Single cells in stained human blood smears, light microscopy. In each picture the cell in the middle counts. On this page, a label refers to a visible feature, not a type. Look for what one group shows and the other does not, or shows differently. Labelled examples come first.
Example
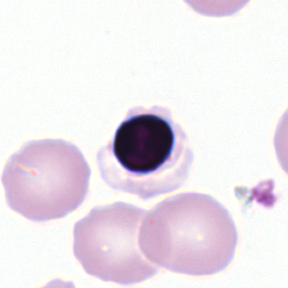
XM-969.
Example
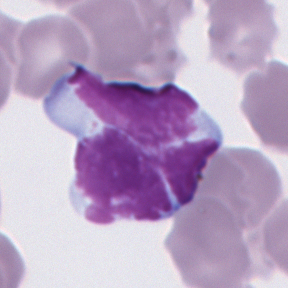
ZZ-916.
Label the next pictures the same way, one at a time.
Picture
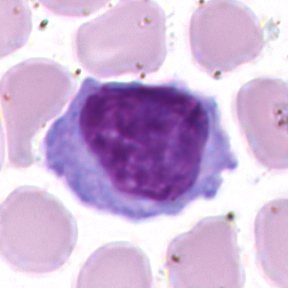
XM-969.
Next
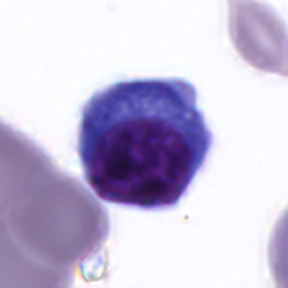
XM-969.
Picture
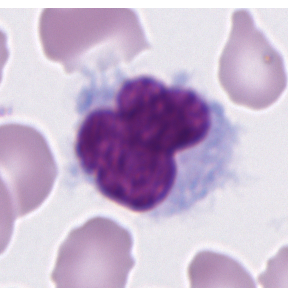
ZZ-916.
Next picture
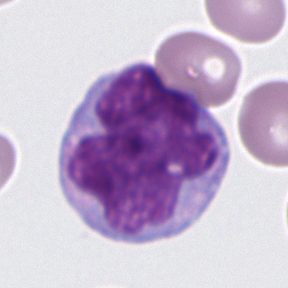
ZZ-916.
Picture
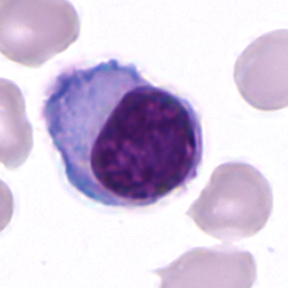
XM-969.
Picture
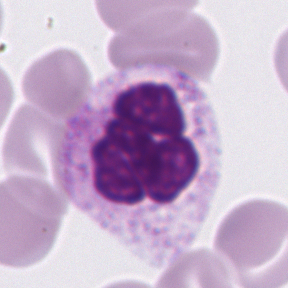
ZZ-916.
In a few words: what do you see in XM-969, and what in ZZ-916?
XM-969: single compact nucleus; ZZ-916: lobed nucleus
